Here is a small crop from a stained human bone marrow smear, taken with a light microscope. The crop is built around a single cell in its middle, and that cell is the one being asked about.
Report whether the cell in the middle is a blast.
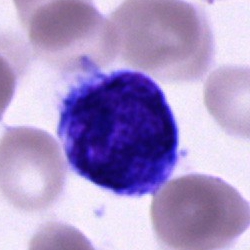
yes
